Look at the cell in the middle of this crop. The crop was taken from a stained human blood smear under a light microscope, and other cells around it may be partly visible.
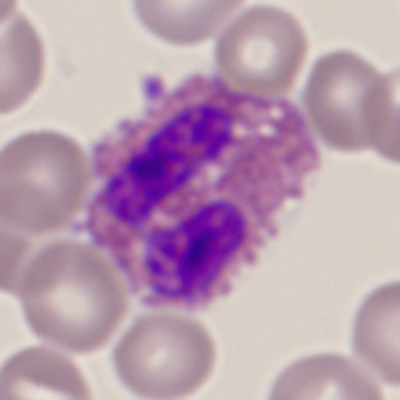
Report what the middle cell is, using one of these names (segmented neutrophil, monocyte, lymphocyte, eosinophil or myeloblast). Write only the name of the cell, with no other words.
eosinophil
